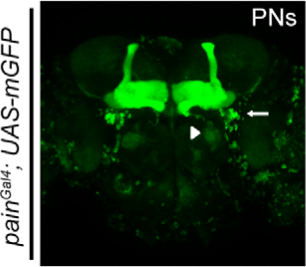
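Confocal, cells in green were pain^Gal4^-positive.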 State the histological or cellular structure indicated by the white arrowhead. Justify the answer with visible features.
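The arrowhead points to a small rounded green-filled unit of neuropil in the lower central brain. The unit lies beneath the brightly labelled paired neuropils near the midline. On this evidence: glomerulus.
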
